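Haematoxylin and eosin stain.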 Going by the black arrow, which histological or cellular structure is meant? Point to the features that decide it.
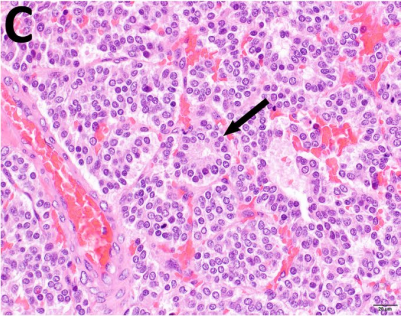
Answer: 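Tumour cells are arranged in a ring around a small central pale area. Nuclei lie at the outer edge of the ring. On this evidence: rosettes.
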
